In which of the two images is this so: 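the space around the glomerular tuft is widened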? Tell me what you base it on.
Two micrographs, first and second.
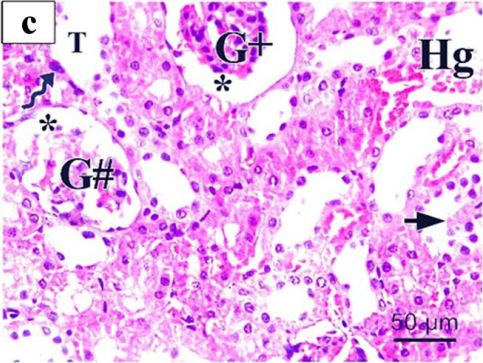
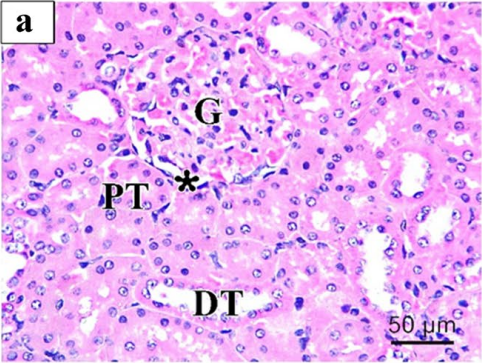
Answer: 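The first image. First image: broad clear spaces surround small glomerular tufts. Second image: the glomerular tuft nearly fills its capsule, leaving only a narrow clear rim.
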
